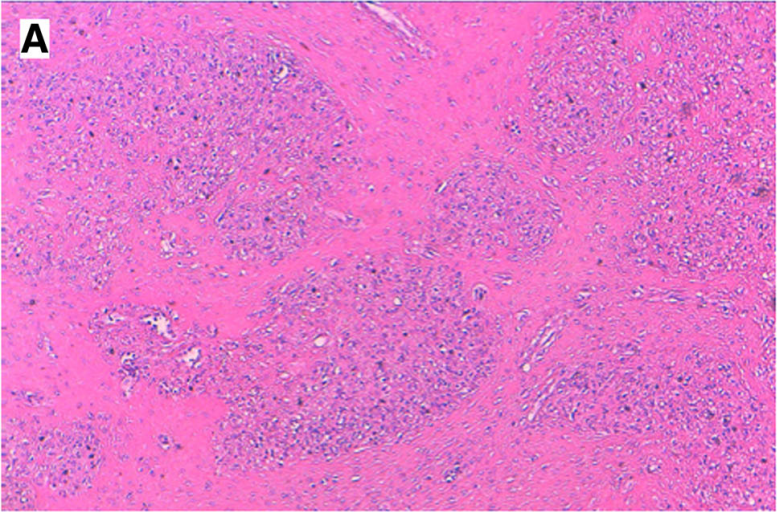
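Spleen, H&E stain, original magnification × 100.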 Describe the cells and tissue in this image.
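At low power, the splenic tissue is broken up into several rounded, purple, cell-rich nodules of differing sizes. Between and around them run broad, pale pink bands of dense, sparsely cellular fibrous tissue that encircle each nodule. Within the nodules, small clear spaces are scattered among the crowded cells. This nodular pattern of vascular-looking nodules set in fibrous bundles fits a sclerosing angiomatoid nodular transformation.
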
